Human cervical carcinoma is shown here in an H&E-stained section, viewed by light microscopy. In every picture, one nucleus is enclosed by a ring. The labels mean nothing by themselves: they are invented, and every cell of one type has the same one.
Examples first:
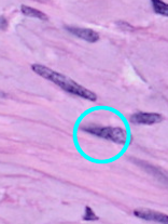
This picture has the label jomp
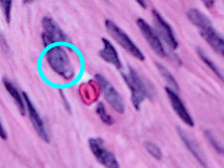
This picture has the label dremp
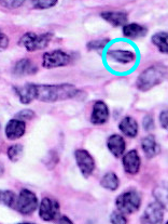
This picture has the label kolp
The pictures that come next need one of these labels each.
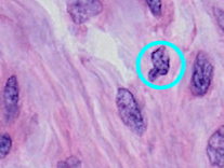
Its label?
kolp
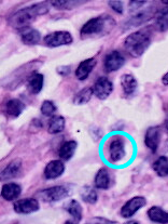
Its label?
kolp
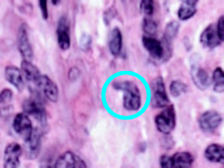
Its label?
kolp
